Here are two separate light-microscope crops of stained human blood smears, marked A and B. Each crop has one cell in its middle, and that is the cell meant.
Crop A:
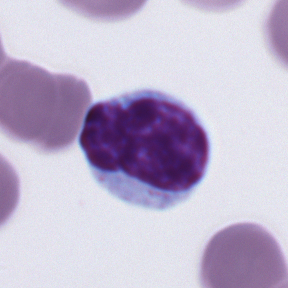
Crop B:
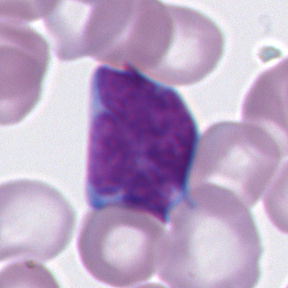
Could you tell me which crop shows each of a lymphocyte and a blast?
A: lymphocyte
B: blast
